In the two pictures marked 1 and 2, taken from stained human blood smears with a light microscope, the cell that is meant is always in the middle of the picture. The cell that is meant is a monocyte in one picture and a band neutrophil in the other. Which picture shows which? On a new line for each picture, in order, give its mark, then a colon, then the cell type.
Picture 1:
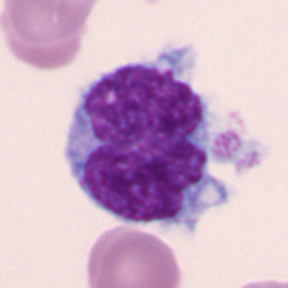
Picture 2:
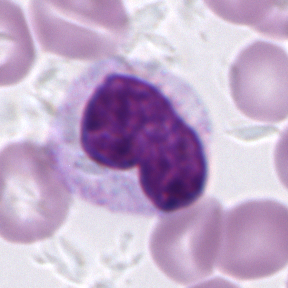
1: monocyte
2: band neutrophil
